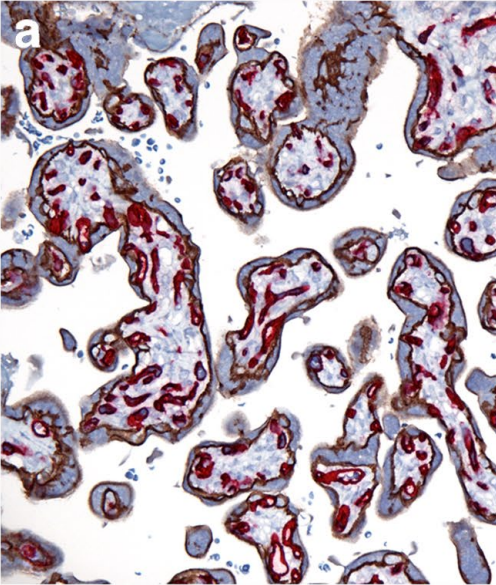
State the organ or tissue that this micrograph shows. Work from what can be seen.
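Many small rounded and elongated villous profiles float in empty intervillous space. Each profile has a brown-rimmed surface layer around a pale stroma. The stroma holds many small red-outlined vessel profiles.
Distal villi.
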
